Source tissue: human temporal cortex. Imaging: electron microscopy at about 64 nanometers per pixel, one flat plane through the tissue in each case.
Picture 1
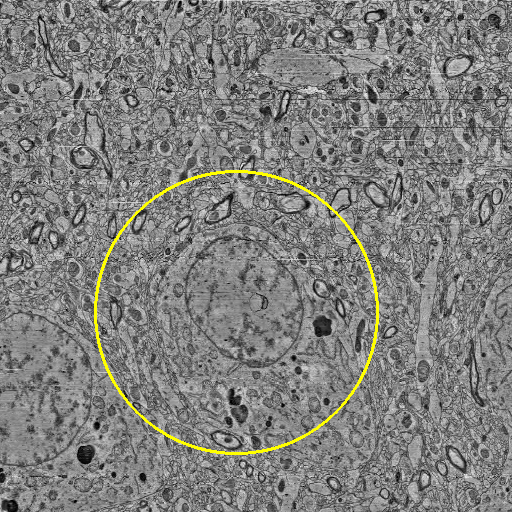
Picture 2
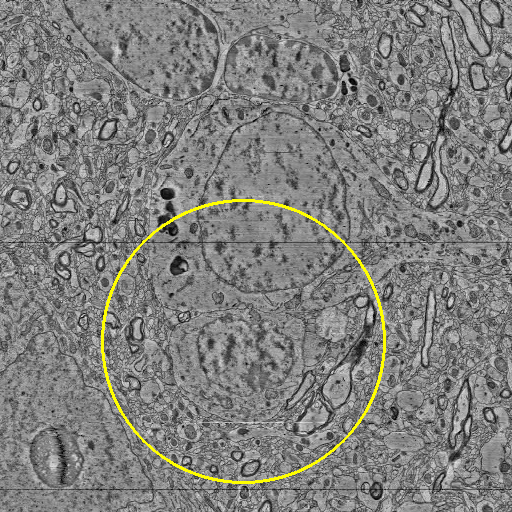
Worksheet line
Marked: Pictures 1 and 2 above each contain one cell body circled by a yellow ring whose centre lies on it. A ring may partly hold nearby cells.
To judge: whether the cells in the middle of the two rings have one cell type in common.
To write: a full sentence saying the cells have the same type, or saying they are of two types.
The cells in the middle of the rings in Picture 1 and Picture 2 are of two types.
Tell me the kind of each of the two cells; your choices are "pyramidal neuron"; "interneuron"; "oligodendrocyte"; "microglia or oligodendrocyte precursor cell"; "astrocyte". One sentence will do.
The ringed cell is a pyramidal neuron in the first picture and an interneuron in the second picture.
